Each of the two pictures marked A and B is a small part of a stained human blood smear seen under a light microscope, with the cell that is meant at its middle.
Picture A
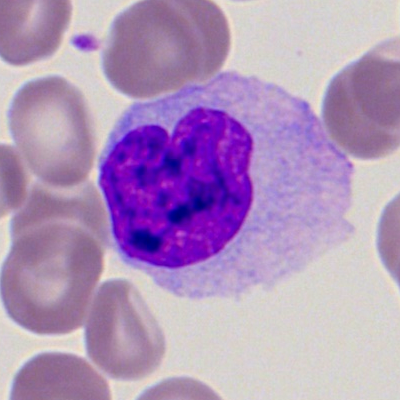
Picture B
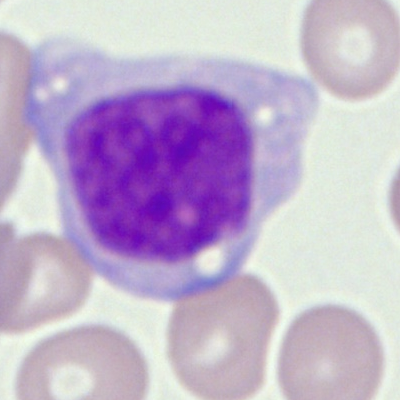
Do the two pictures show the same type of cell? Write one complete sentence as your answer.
Yes, the two pictures both show monocytes.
